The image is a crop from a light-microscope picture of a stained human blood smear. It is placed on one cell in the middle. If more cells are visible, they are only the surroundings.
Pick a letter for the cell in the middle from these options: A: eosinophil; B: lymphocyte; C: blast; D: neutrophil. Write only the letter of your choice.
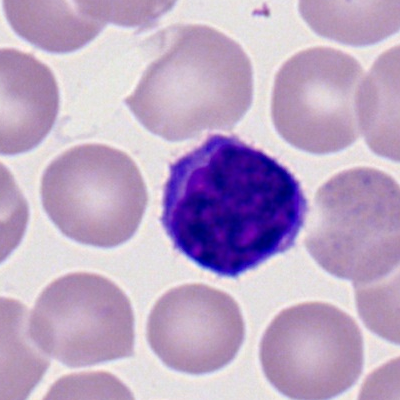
B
